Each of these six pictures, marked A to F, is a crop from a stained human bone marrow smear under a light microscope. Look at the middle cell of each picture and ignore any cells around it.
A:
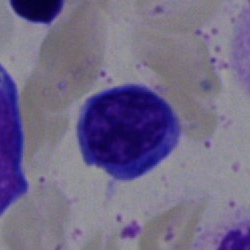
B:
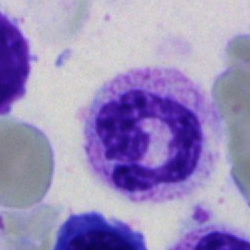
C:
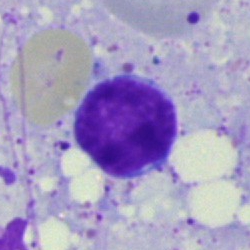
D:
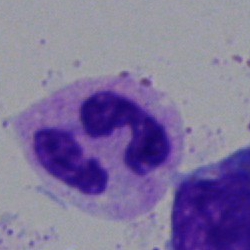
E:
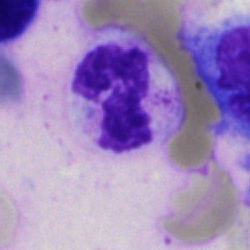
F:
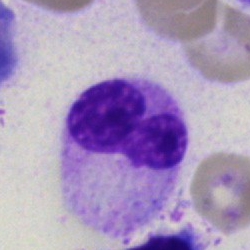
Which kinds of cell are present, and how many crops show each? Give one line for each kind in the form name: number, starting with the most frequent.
neutrophil: 4
lymphocyte: 2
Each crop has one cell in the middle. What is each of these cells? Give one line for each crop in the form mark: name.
A: lymphocyte
B: neutrophil
C: lymphocyte
D: neutrophil
E: neutrophil
F: neutrophil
